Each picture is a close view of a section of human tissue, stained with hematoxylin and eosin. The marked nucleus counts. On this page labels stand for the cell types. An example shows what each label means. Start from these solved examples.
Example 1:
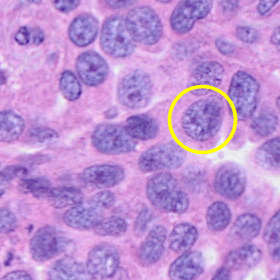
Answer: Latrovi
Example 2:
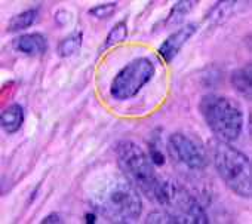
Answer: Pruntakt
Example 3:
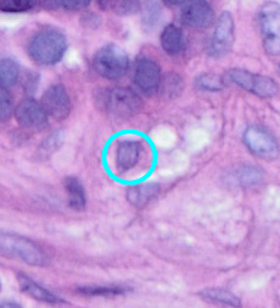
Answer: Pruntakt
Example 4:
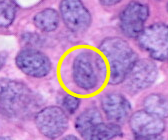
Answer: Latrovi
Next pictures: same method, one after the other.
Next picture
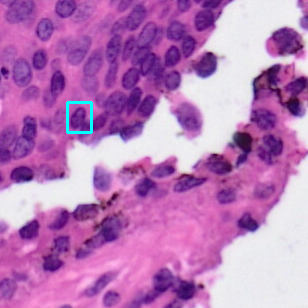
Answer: Latrovi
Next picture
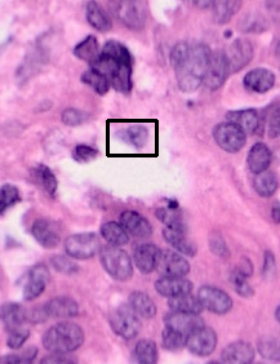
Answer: Pruntakt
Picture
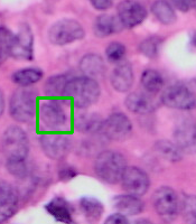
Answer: Latrovi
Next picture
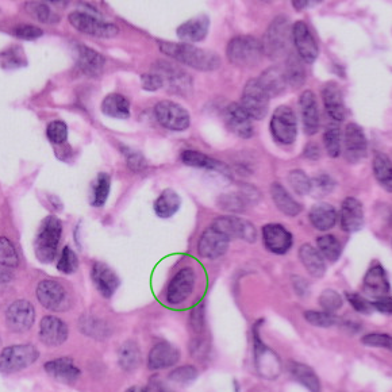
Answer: Latrovi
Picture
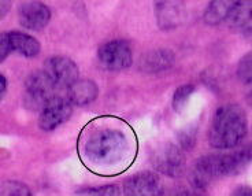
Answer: Pruntakt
